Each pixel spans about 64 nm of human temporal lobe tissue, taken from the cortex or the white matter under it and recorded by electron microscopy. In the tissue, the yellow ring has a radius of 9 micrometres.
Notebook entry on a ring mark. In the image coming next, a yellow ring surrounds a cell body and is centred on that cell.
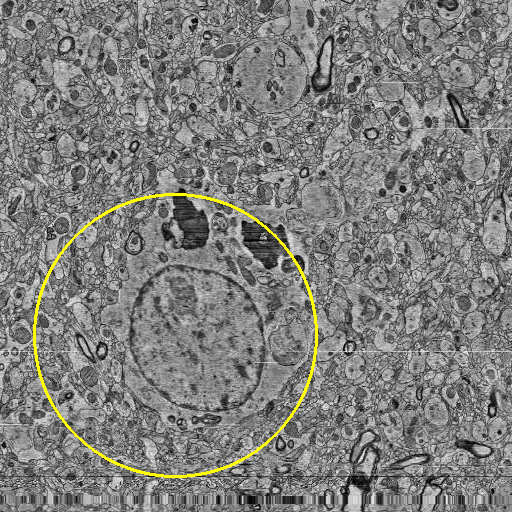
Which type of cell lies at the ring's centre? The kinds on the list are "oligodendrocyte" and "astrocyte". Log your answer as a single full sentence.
Centred in the yellow ring is an astrocyte, the cell recorded for this image.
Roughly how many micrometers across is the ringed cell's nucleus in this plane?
Approximately 10 micrometres long and 8 micrometres wide, in this plane.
